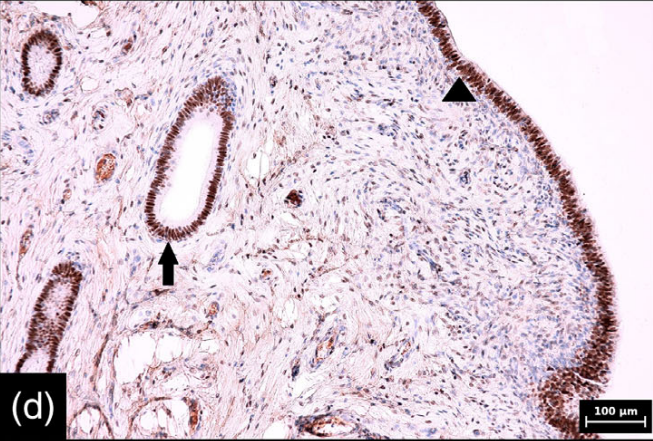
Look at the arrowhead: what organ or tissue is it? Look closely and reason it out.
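Surface epithelium. A single layer of columnar cells lining the free surface at the right edge. The layer faces an empty space above the stroma.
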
